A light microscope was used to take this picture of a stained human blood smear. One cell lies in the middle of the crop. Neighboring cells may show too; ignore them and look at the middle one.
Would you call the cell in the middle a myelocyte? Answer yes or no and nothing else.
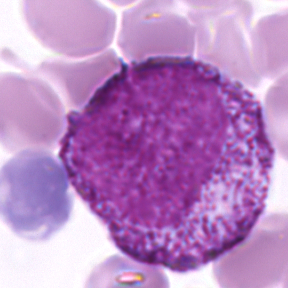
yes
